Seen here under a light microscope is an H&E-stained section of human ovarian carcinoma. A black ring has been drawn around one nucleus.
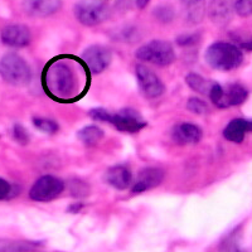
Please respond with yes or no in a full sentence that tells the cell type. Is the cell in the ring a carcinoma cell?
Yes, as far as cell type goes, the cell in the ring is a carcinoma cell.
